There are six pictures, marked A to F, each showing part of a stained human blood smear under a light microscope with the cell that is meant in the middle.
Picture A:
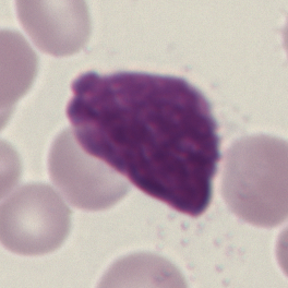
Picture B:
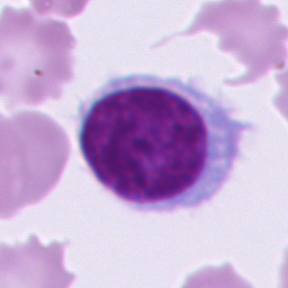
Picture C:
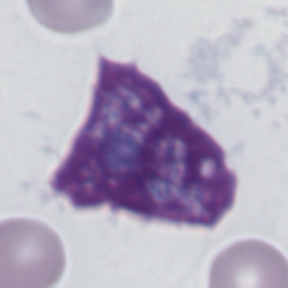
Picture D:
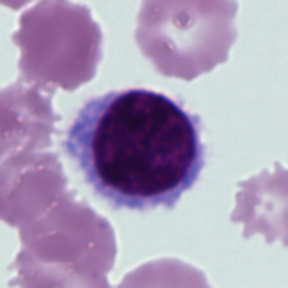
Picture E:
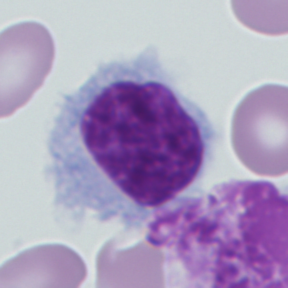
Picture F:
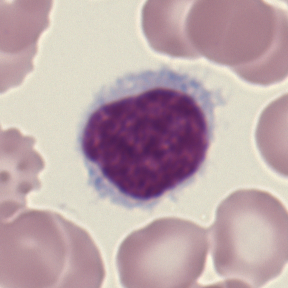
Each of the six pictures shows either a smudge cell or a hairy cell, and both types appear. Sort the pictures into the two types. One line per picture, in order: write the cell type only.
smudge cell
hairy cell
smudge cell
hairy cell
hairy cell
hairy cell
